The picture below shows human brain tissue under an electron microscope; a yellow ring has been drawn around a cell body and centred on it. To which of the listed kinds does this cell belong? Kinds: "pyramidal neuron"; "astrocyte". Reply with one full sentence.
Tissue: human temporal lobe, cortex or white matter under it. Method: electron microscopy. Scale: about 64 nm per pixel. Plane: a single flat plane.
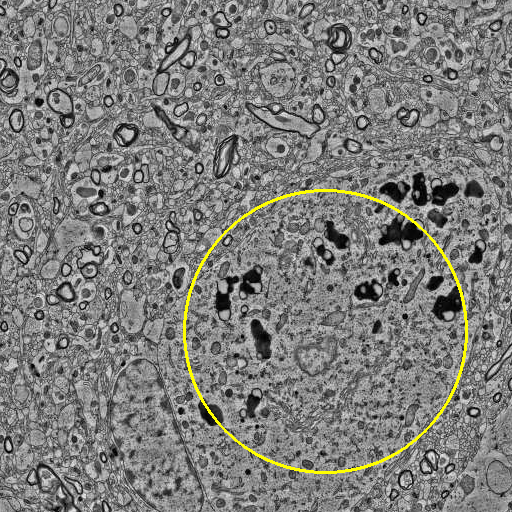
It is a pyramidal neuron that the yellow ring in the picture is centred on.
